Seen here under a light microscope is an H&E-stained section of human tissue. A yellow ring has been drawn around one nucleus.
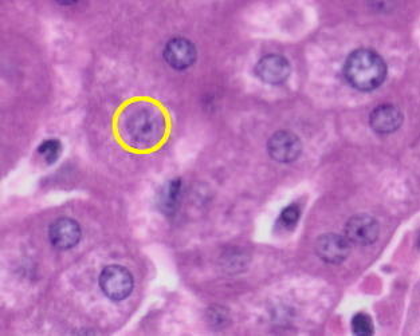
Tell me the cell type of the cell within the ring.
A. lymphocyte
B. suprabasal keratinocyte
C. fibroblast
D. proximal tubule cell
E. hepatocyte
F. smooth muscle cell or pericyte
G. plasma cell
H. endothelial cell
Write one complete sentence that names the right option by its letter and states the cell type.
It is correct to say that the cell within the ring is a hepatocyte, as option E does.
